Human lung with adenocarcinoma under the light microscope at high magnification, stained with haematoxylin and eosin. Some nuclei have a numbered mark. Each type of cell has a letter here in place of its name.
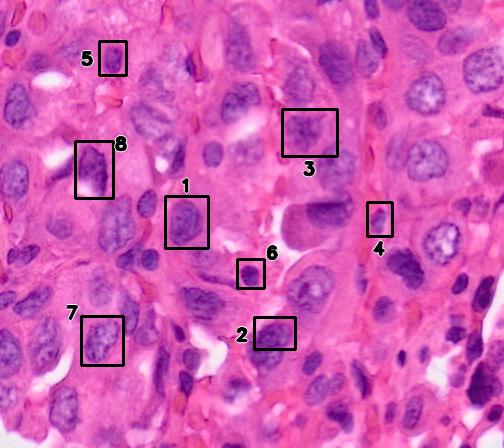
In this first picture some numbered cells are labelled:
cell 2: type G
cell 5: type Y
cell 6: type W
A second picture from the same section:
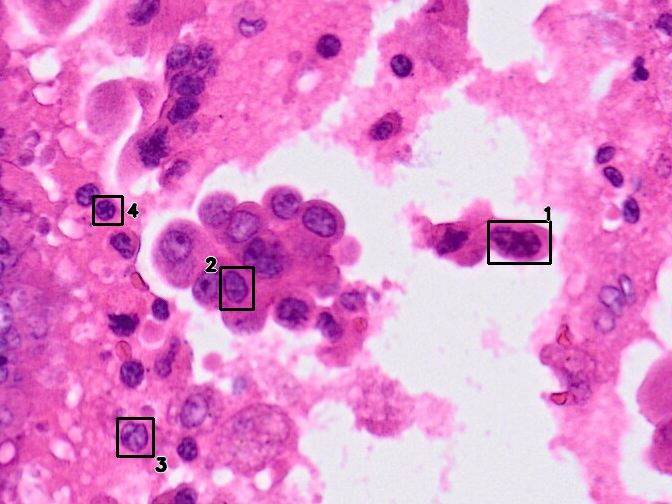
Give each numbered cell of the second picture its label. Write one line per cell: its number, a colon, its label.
1: type G
2: type G
3: type Y
4: type W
